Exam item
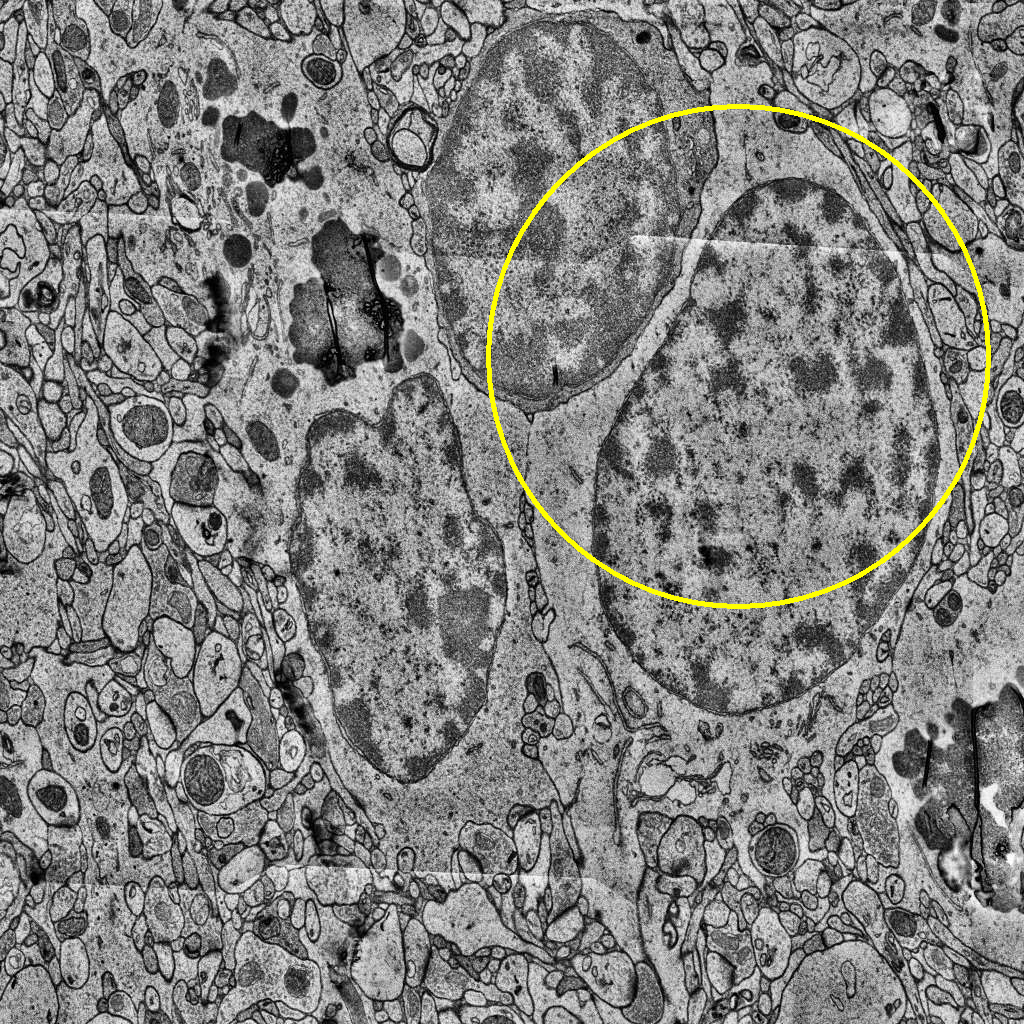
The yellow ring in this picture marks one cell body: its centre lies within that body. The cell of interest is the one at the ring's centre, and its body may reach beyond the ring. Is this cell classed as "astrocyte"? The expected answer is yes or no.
yes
